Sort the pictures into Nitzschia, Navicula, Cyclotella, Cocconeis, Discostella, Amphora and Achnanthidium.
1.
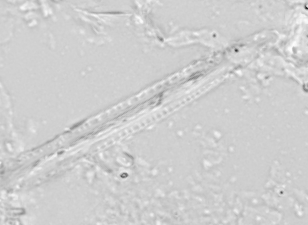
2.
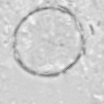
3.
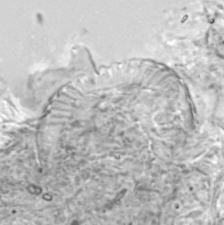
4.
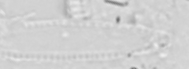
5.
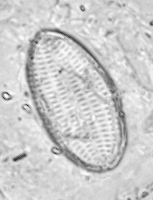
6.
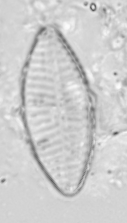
Nitzschia: 1, 4
Discostella: 2
Cyclotella: 3
Cocconeis: 5
Navicula: 6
